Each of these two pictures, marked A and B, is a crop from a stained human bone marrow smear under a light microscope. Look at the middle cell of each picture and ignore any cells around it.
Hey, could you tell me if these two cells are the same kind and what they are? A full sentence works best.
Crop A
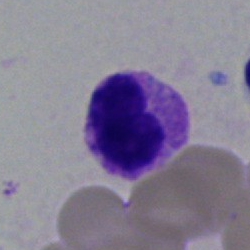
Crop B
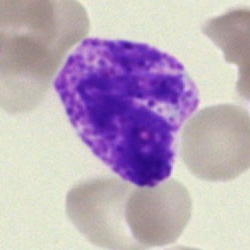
Yes, basophils are the cells in the middle of both crops.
